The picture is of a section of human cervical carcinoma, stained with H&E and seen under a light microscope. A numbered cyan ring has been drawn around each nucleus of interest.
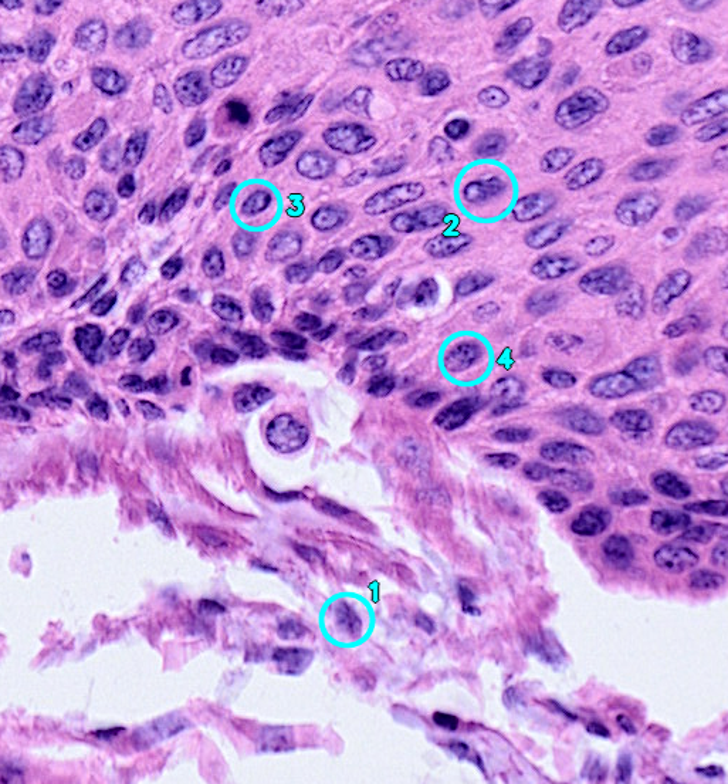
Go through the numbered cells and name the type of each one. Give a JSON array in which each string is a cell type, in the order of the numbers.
["fibroblast", "squamous carcinoma cell", "squamous carcinoma cell", "squamous carcinoma cell"]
